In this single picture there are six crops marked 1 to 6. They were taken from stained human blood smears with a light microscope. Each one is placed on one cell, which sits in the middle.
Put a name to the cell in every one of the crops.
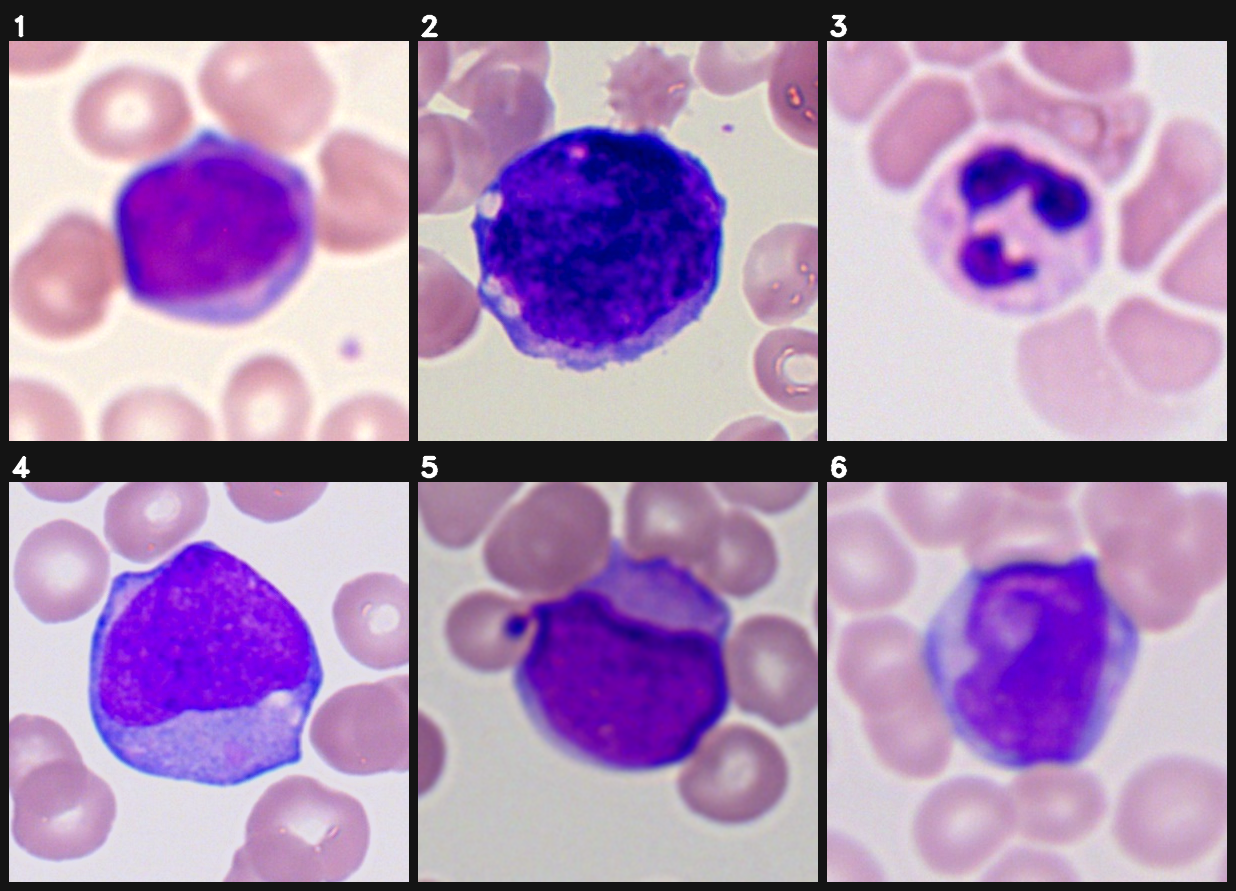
1: myeloblast
2: myeloblast
3: segmented neutrophil
4: myeloblast
5: myeloblast
6: myeloblast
